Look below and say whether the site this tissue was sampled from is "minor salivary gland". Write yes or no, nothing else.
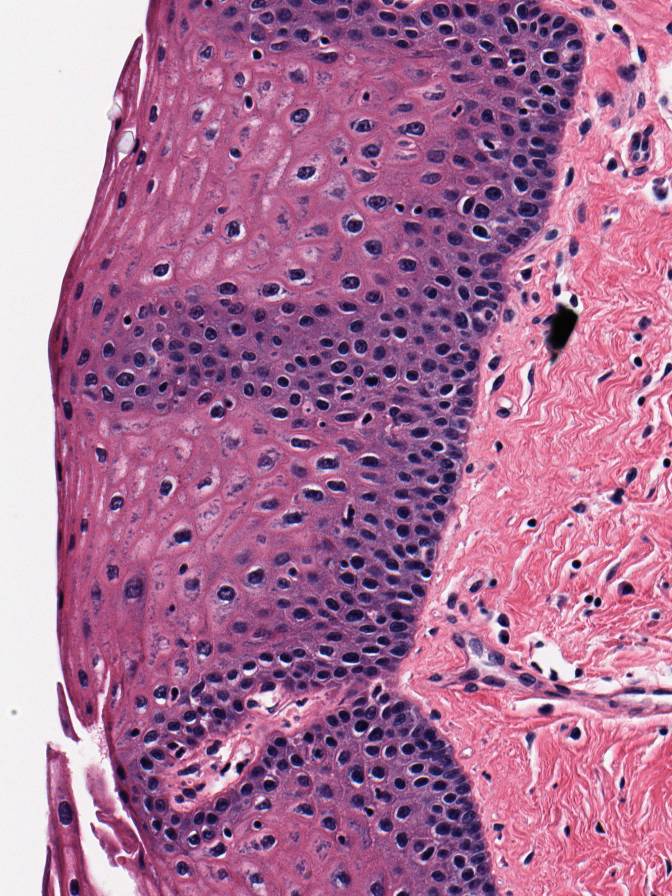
no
